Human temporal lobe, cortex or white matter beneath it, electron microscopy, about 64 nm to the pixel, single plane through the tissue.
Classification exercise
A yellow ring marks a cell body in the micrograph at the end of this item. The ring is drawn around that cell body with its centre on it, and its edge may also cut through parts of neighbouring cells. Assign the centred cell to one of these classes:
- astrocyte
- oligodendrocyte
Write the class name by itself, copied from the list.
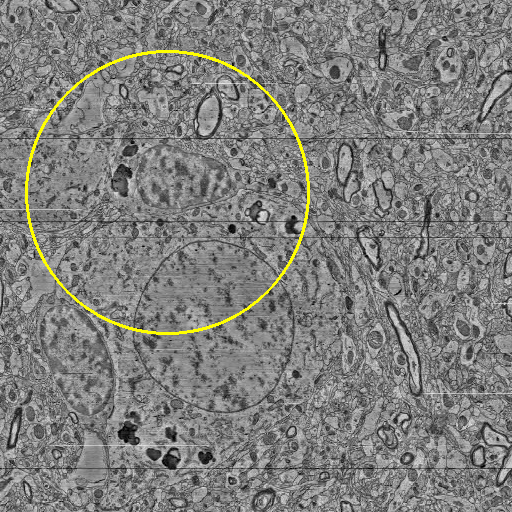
oligodendrocyte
